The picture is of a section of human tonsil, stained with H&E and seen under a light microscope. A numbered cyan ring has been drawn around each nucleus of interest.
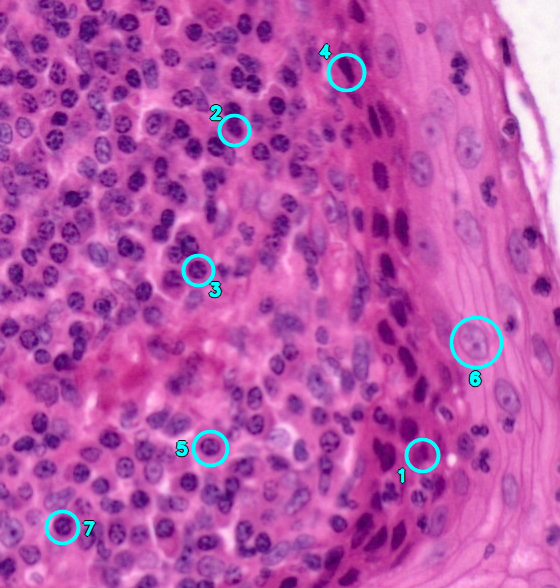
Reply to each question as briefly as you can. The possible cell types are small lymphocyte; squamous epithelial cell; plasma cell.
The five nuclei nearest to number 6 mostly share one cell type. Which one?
squamous epithelial cell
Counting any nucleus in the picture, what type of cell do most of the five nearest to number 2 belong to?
plasma cell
